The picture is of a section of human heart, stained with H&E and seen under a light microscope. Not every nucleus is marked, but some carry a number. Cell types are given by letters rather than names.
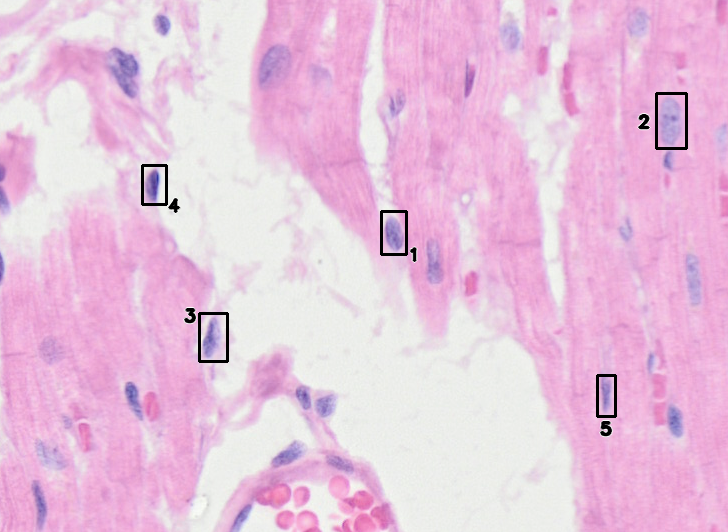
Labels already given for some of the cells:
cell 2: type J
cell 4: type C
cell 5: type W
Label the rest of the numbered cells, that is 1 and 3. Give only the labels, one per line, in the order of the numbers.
type C
type C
